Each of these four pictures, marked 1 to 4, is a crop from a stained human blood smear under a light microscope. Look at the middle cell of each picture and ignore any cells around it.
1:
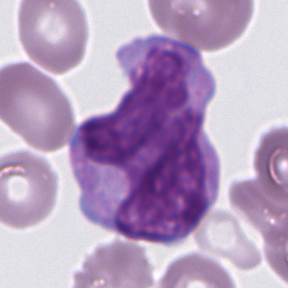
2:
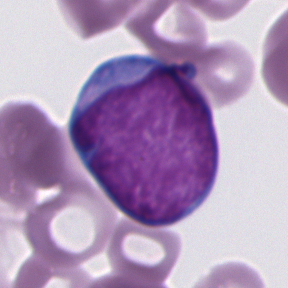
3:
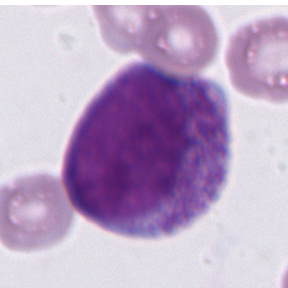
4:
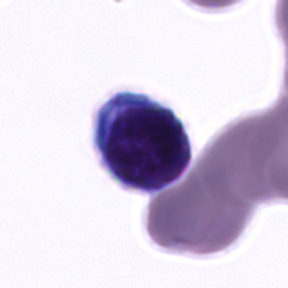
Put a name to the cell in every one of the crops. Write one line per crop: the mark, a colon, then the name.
1: atypical promyelocyte
2: myeloblast
3: promyelocyte
4: plasma cell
